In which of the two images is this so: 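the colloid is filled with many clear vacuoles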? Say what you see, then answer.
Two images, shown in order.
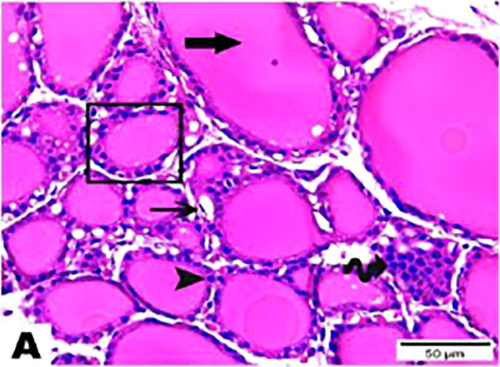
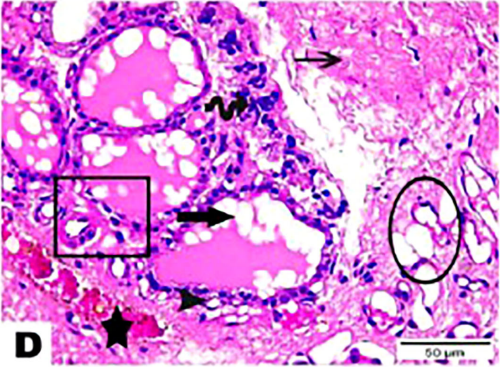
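Second image: follicle contents are riddled with numerous clear holes. First image: follicle contents are uniform, homogeneous pink. The answer: the second image.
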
